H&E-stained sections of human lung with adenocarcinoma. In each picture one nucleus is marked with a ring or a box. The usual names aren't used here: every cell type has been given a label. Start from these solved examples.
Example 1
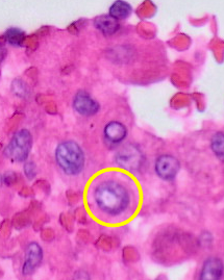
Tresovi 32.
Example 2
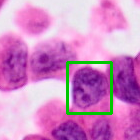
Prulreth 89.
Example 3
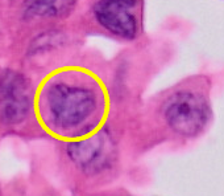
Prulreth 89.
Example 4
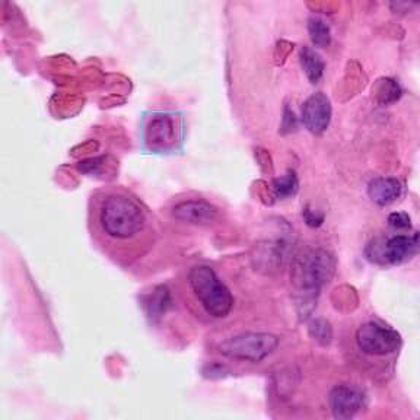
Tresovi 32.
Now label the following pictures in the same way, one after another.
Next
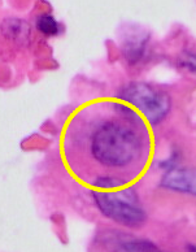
Prulreth 89.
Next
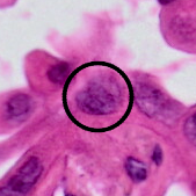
Prulreth 89.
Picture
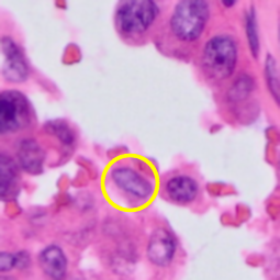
Tresovi 32.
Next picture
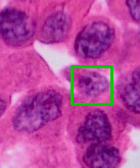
Prulreth 89.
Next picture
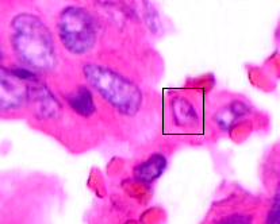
Tresovi 32.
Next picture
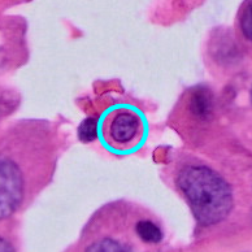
Tresovi 32.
